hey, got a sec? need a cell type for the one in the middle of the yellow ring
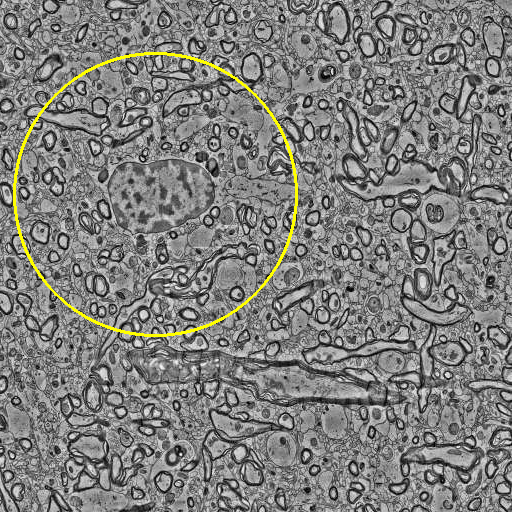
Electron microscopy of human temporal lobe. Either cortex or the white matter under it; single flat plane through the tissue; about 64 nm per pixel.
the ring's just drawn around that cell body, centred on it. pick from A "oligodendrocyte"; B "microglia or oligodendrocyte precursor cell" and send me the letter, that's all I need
B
